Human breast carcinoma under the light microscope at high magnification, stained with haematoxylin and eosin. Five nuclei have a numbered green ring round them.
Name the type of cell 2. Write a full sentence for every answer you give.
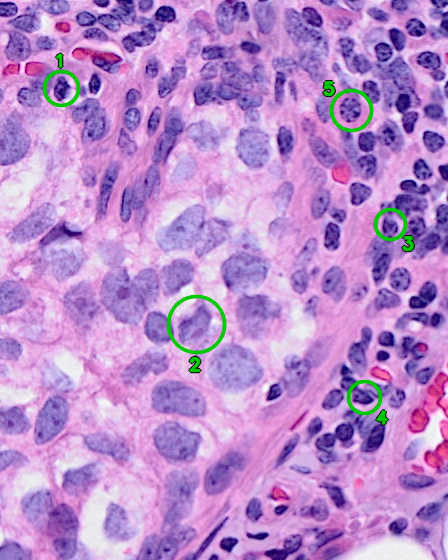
In this section, number 2 marks a carcinoma cell.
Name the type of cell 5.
The nucleus labelled 5 belongs to a mast cell.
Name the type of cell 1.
The marked nucleus 1 is that of a lymphocyte.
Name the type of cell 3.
The mark numbered 3 indicates the nucleus of a lymphocyte.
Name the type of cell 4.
The cell indicated by marker 4 is a lymphocyte in this section.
